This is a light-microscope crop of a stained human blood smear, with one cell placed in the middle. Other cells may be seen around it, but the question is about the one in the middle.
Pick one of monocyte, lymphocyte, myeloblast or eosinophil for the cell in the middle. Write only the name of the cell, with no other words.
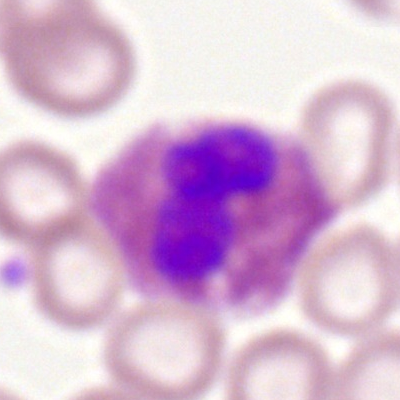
eosinophil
